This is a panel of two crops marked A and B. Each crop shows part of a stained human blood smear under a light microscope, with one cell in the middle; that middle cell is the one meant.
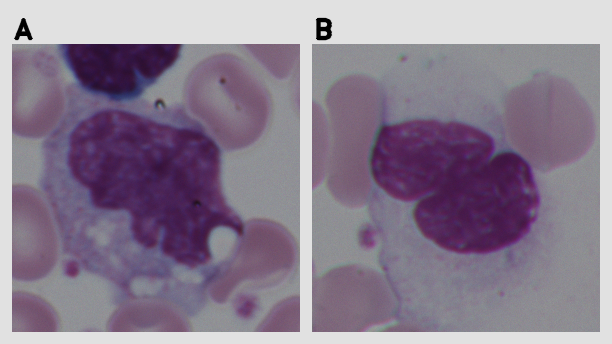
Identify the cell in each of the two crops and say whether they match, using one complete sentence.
Yes, as for both crops, the cells shown are monocytes.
